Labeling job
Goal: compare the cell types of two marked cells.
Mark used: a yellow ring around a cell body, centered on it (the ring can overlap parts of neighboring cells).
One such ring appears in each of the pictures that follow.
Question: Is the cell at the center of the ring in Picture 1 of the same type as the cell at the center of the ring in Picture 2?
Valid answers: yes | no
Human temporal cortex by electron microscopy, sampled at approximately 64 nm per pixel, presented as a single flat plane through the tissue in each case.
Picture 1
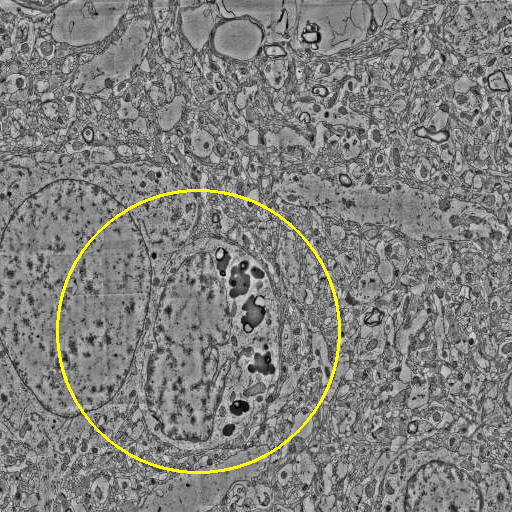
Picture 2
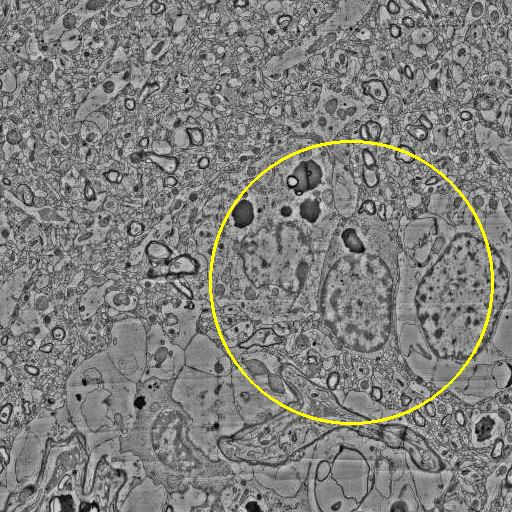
no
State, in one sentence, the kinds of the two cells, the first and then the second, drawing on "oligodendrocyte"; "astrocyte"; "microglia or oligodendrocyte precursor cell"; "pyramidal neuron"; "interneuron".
The ring in the second picture is centred on an oligodendrocyte, the ring in the first on an interneuron.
